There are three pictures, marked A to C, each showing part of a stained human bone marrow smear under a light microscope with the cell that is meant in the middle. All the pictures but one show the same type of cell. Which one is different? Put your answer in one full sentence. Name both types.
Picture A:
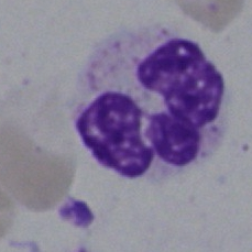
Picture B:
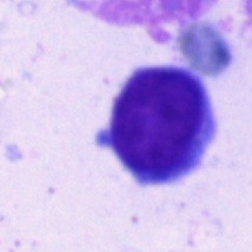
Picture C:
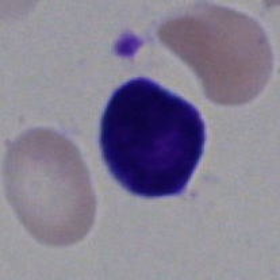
Unlike the rest, which show lymphocytes, picture A shows a segmented neutrophil.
